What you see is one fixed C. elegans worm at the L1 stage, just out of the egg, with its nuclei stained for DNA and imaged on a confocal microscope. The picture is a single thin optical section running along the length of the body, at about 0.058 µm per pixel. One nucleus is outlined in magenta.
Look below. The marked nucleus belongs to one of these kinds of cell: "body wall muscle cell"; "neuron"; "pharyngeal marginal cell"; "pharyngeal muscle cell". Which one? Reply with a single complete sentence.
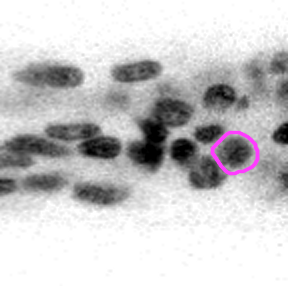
The cell with the marked nucleus is a neuron.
